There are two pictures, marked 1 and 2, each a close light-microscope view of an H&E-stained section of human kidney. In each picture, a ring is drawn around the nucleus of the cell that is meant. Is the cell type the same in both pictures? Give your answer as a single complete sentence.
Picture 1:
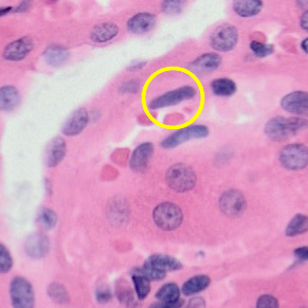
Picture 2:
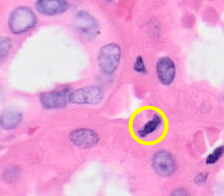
Yes, the two pictures both show endothelial cells.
